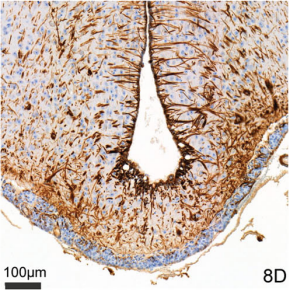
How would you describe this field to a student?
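A midline cavity, widening at its base, is lined by a dense brown-stained layer of cells from which long brown processes radiate outward through tissue dotted with small blue nuclei. Toward the ventral surface the processes crowd together into a heavily brown-stained band above a thin outer layer of blue nuclei. These are hypothalamic tanycytes lining the third ventricle, with their radial processes reaching into the surrounding hypothalamus.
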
